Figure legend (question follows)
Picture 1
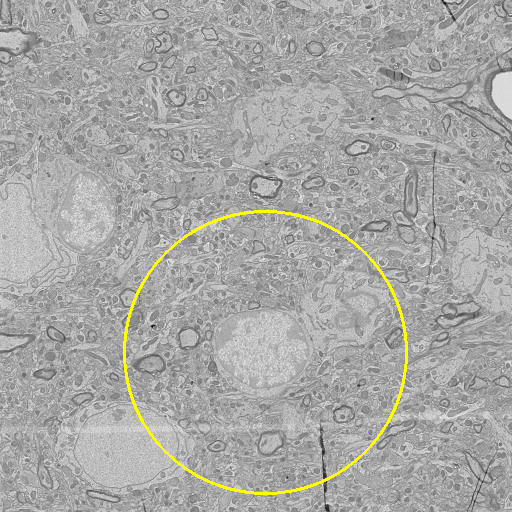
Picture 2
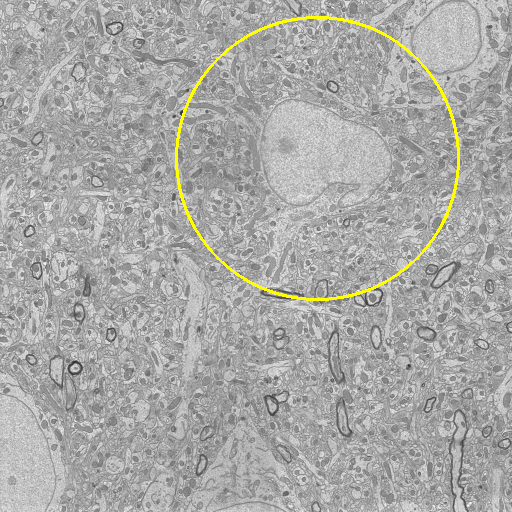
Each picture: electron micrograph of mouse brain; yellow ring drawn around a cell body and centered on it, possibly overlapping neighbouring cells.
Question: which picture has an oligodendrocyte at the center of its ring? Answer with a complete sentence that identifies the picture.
Picture 1 has it at the center of its ring.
